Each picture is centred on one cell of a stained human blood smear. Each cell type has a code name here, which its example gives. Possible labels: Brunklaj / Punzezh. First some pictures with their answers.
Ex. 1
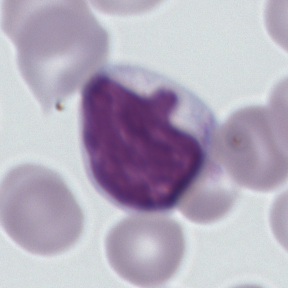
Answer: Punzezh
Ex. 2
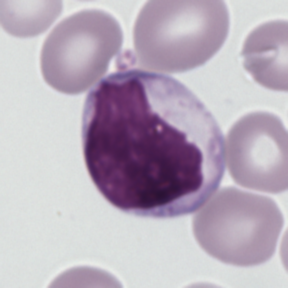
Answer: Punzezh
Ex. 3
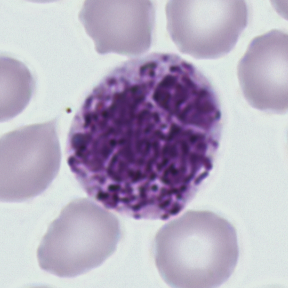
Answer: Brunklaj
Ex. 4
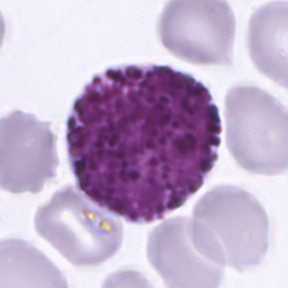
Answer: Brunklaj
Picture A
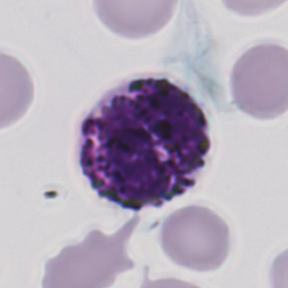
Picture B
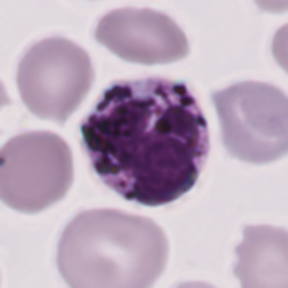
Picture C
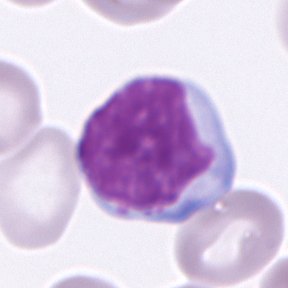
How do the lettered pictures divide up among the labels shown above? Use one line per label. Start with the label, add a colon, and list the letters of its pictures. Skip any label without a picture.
Brunklaj: A, B
Punzezh: C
